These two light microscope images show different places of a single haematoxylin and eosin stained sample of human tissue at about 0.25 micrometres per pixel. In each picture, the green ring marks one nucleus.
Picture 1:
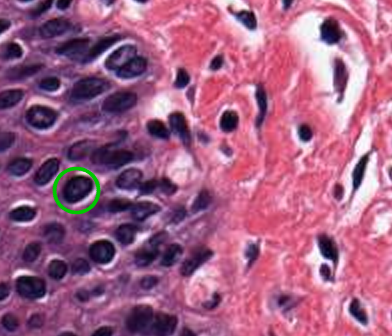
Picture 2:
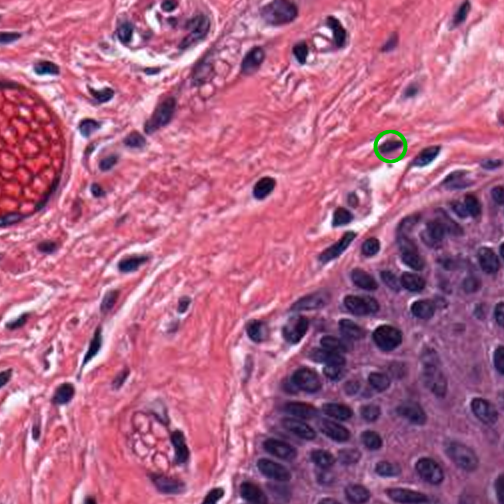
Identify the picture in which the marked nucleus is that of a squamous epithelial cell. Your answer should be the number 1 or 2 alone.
1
